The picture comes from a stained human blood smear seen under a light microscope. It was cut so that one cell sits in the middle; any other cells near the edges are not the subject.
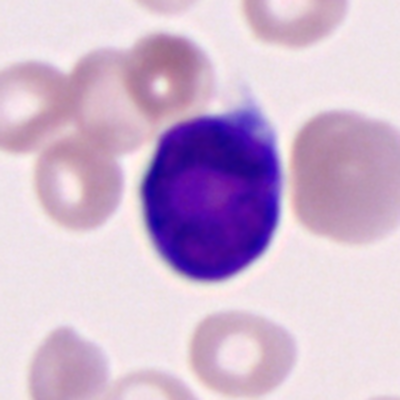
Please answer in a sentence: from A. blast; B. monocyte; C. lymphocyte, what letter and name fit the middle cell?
The cell in the middle is a blast, and that makes option A correct.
